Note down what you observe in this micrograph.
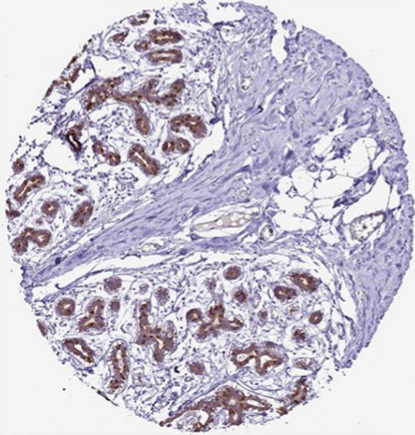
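Normal breast tissue in a round core shows lobules made of many small ducts and acini. Their lining epithelium has brown-stained cytoplasm around blue nuclei, and the lumina are narrow and branching. The ducts sit in a looser, paler stroma within each lobule. Between the lobules runs a broad band of dense fibrous connective tissue with scattered elongated blue nuclei. Near the middle lie clear, empty-looking fat cells and a small vessel. The overall architecture of lobules separated by fibrous stroma is preserved.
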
